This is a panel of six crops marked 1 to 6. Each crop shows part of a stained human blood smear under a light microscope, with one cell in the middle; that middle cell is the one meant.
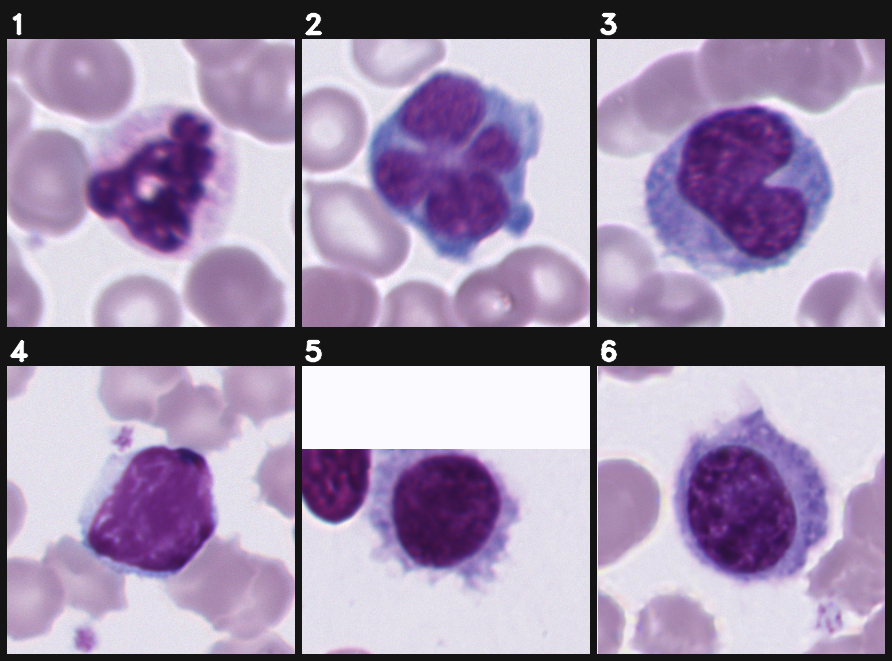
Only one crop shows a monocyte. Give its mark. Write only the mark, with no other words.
3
